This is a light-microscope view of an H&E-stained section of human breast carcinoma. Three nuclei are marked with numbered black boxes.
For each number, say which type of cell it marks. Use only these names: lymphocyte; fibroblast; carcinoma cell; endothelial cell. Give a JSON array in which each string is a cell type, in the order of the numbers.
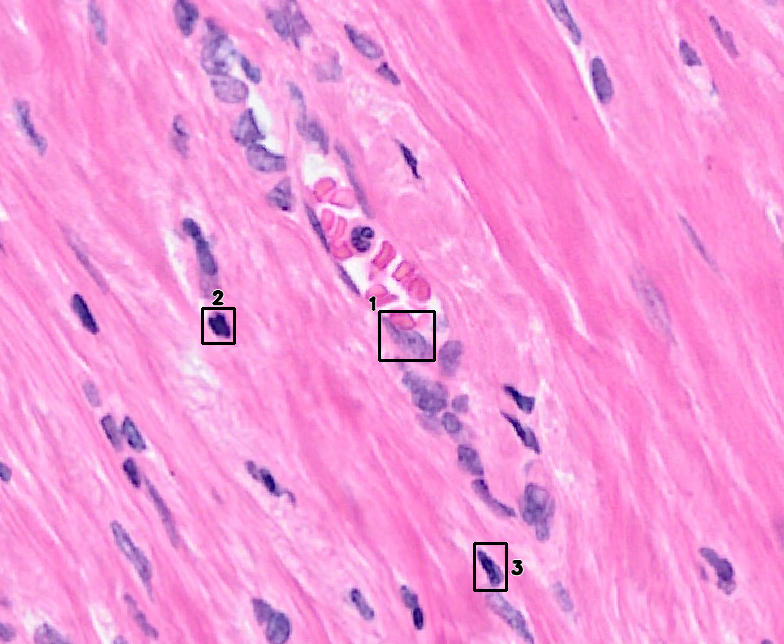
["endothelial cell", "lymphocyte", "lymphocyte"]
